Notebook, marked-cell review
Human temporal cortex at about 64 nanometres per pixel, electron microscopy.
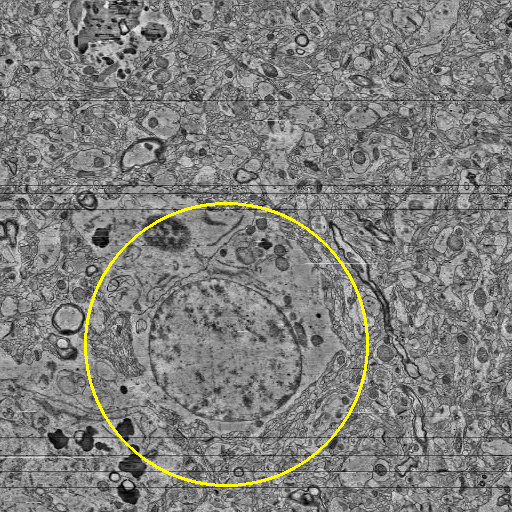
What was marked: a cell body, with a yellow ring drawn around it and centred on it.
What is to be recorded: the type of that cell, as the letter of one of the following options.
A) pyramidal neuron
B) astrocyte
B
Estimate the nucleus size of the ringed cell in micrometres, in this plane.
In this plane, the nucleus measures approximately 10 micrometres across.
